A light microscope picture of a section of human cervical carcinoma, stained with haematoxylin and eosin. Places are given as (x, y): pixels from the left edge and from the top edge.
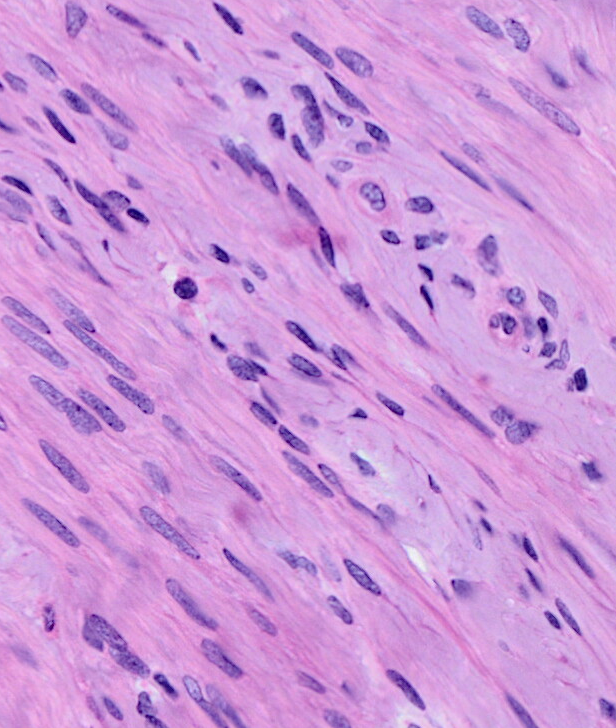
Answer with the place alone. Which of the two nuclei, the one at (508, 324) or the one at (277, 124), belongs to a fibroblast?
(277, 124)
